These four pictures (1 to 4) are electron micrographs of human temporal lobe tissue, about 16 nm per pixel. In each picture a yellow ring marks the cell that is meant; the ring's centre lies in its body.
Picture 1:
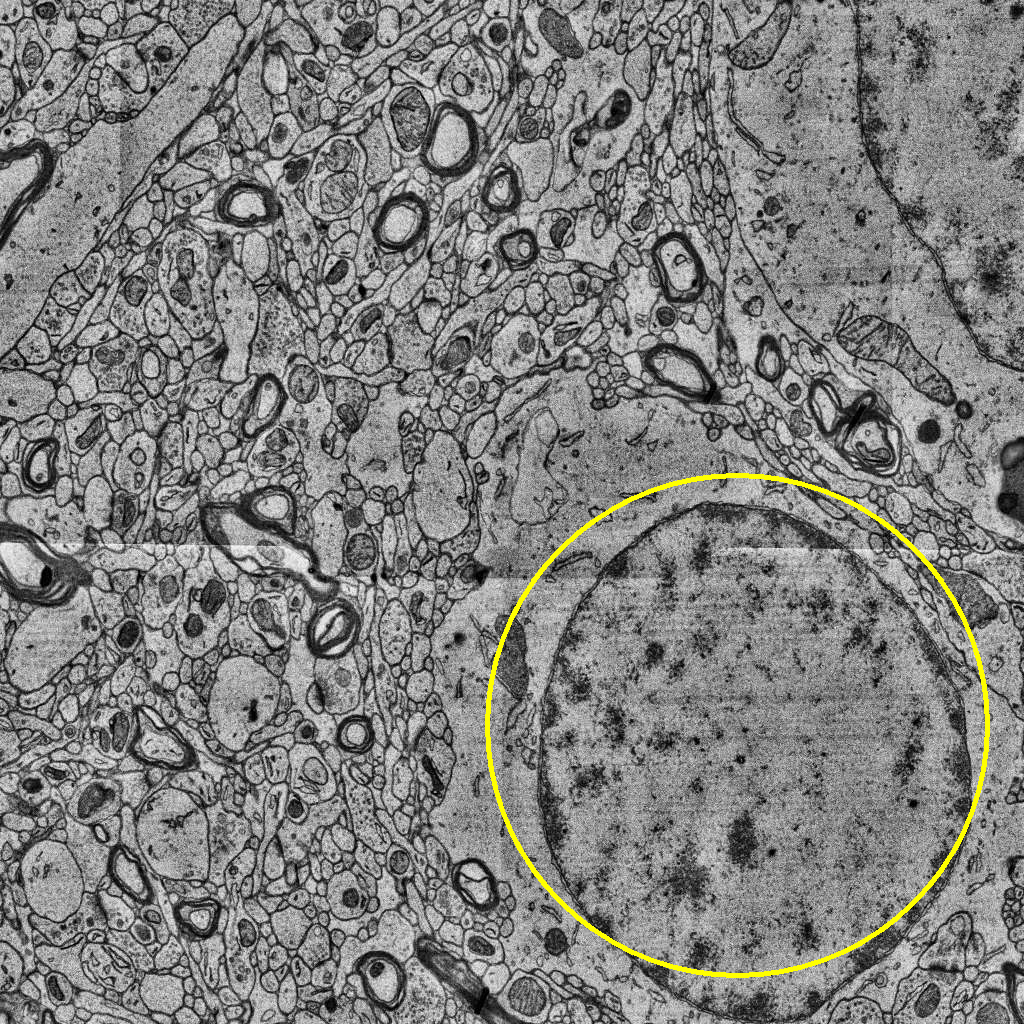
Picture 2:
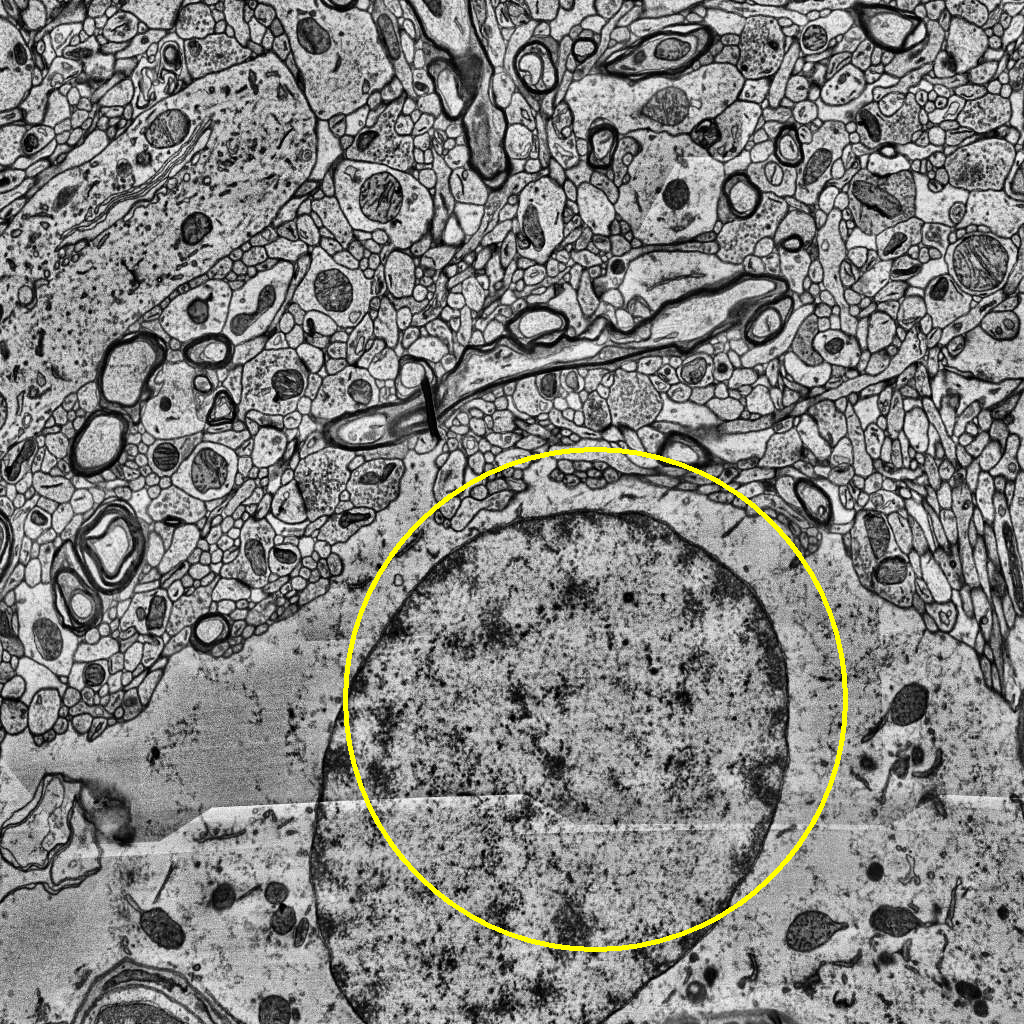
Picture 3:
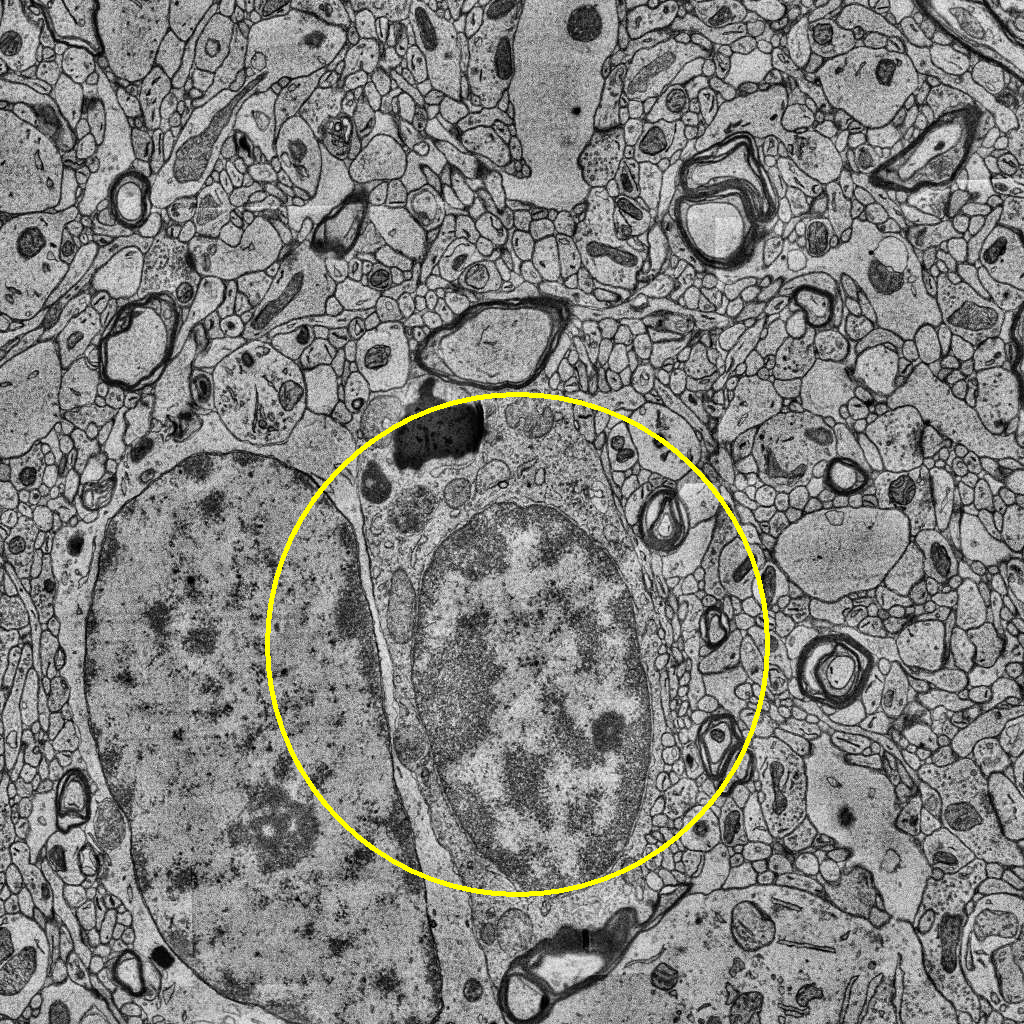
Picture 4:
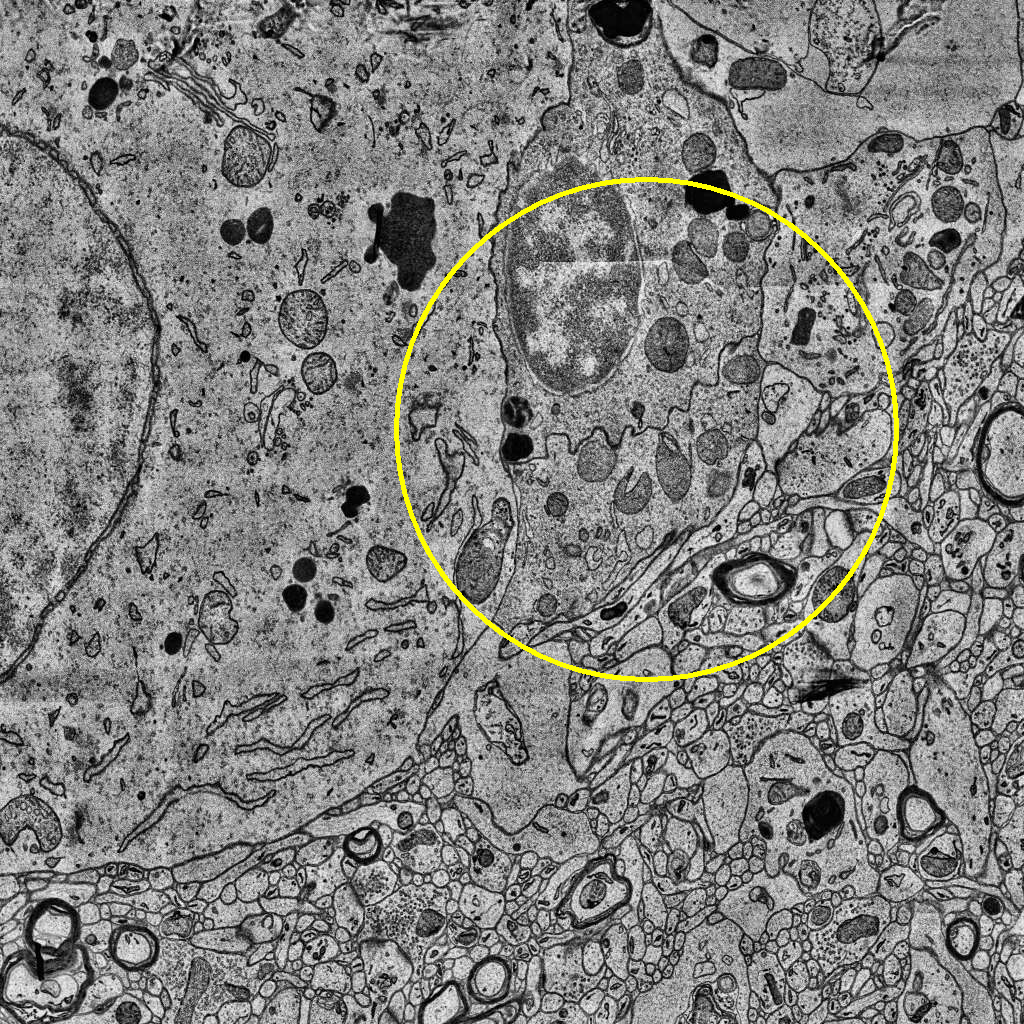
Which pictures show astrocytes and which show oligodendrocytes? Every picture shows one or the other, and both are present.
Pictures 1 and 2 show astrocytes, while pictures 3 and 4 show oligodendrocytes.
